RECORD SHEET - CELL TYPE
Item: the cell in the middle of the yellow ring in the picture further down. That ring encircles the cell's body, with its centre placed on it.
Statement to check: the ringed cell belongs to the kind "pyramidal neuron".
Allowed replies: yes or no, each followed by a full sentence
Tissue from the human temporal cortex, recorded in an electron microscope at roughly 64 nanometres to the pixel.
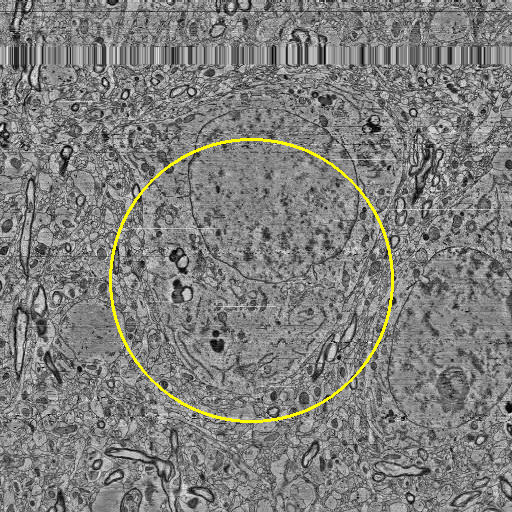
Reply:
Yes, the cell held at the centre of the ring in the picture is of that kind.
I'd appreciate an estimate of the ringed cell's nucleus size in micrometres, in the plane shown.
The nucleus comes to roughly 12 micrometres across in this plane.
